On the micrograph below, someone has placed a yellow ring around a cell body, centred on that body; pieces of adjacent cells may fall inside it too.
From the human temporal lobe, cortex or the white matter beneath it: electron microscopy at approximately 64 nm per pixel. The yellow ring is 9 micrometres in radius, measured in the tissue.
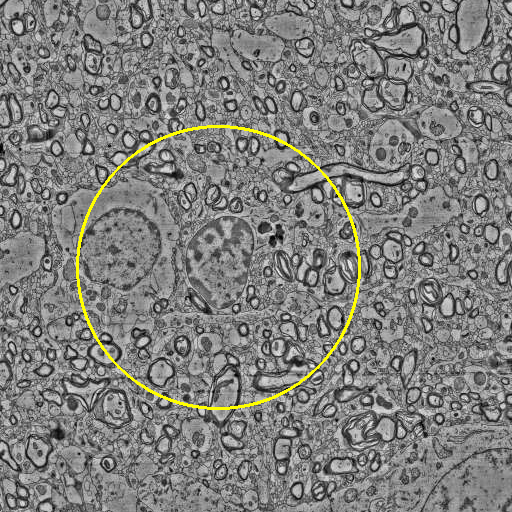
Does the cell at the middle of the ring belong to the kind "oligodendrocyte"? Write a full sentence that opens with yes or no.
No, the micrograph shows another kind of cell at the ring's centre.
